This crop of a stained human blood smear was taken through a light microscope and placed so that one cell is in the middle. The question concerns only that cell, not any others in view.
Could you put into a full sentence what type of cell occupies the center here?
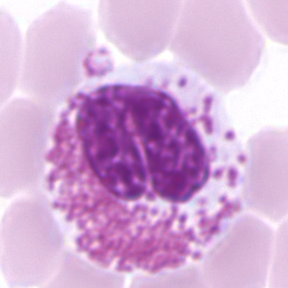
The middle position in this crop is taken by an eosinophil.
